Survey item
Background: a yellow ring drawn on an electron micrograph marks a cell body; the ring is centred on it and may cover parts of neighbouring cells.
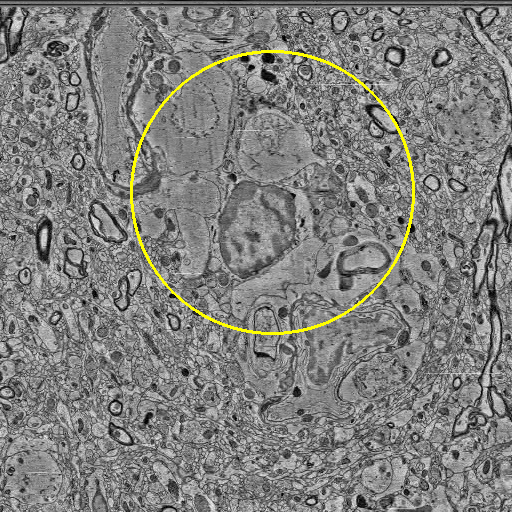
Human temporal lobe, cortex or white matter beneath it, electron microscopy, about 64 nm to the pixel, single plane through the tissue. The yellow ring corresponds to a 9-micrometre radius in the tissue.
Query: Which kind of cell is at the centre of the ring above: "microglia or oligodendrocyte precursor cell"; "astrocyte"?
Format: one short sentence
The cell in the middle of the ring is a microglial cell or oligodendrocyte precursor cell.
